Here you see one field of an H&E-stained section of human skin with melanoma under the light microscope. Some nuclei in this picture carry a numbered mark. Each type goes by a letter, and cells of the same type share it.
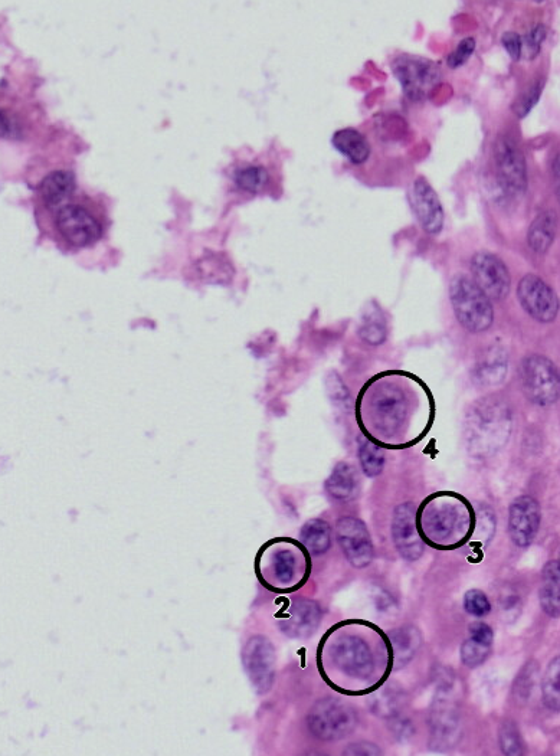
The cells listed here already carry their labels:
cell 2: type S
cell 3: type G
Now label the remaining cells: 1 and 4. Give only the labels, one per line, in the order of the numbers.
type G
type G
